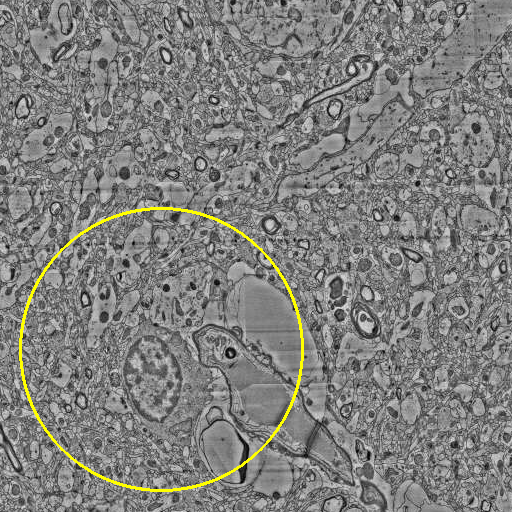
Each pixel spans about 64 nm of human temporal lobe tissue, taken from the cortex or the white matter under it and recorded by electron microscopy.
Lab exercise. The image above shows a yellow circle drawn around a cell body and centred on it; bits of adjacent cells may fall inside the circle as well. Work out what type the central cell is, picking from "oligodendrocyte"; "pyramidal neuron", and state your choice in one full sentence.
In the image above, the cell at the centre of the yellow circle is an oligodendrocyte.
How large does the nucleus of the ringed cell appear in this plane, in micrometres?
About 6 by 4 micrometres in this plane; clearly longer than it is wide.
